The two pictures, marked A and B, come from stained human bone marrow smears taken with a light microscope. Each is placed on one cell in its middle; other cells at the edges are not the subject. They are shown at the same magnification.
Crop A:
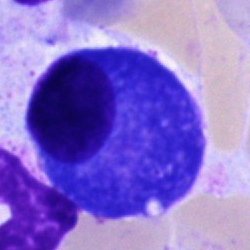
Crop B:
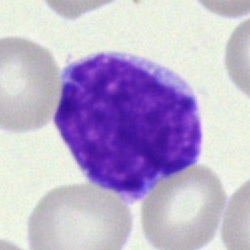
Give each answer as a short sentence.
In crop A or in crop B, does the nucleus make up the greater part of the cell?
In crop B the nucleus takes up the larger part of its cell.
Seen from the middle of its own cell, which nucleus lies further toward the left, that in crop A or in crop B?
It is the nucleus in crop A that lies further toward the left of its cell.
